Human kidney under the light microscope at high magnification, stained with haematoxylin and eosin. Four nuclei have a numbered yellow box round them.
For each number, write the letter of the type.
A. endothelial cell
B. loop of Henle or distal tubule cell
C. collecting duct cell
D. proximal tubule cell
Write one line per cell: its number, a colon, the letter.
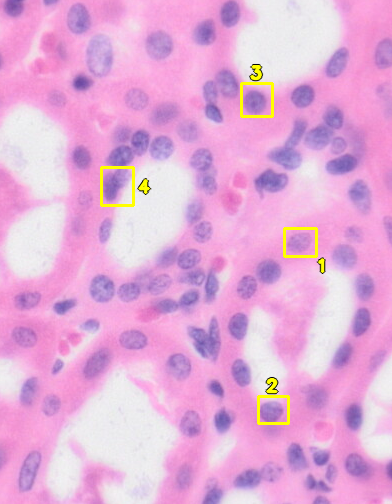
1: B
2: B
3: B
4: C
